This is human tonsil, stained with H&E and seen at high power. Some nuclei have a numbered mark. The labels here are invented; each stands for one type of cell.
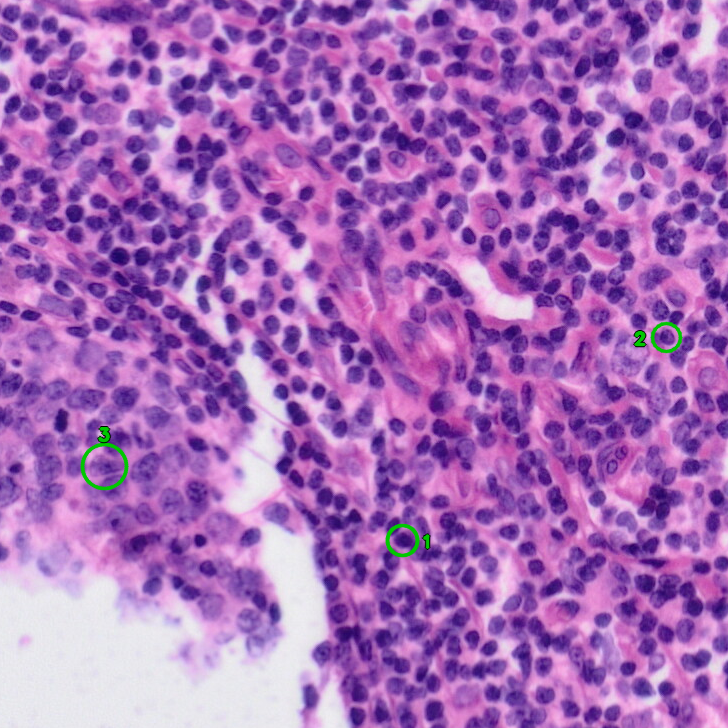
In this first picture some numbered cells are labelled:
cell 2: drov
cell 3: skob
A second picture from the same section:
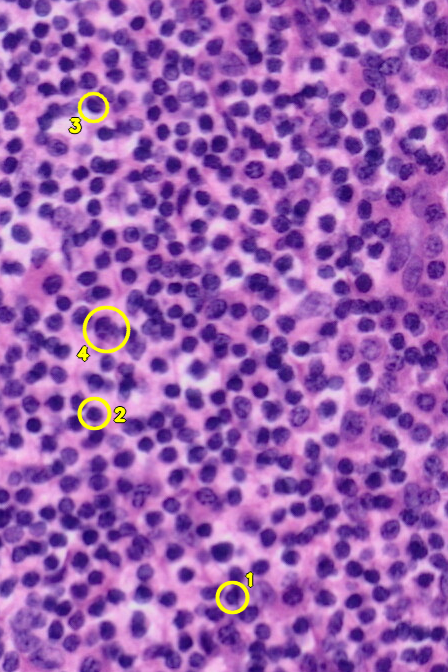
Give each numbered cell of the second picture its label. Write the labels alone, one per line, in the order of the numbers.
drov
drov
drov
skob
